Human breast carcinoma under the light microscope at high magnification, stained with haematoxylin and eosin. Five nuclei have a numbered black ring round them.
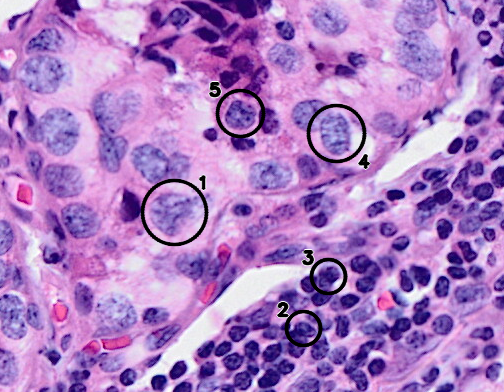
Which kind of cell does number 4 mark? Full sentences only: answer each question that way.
To a carcinoma cell belongs the nucleus marked 4.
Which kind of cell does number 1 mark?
The cell marked with number 1 is a carcinoma cell.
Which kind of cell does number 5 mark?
The identity of cell 5 is that of a carcinoma cell.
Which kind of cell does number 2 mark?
The cell whose nucleus carries the number 2 is a lymphocyte.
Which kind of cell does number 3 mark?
The expected answer is that cell 3 is a lymphocyte.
